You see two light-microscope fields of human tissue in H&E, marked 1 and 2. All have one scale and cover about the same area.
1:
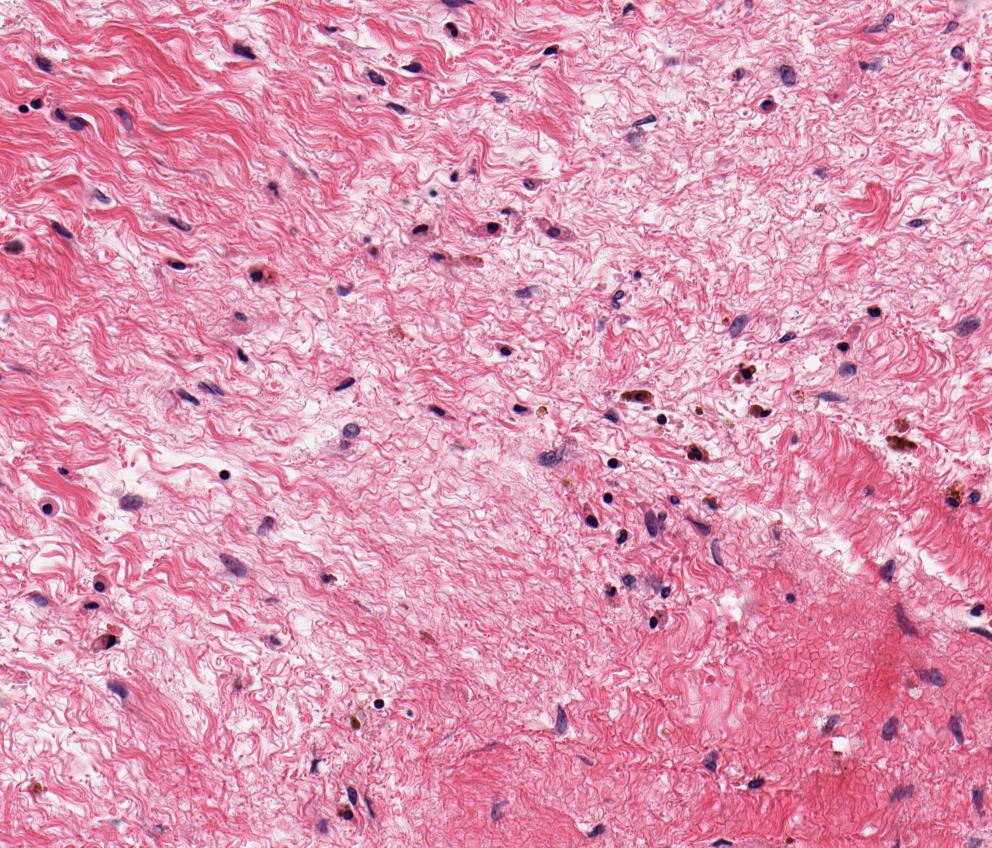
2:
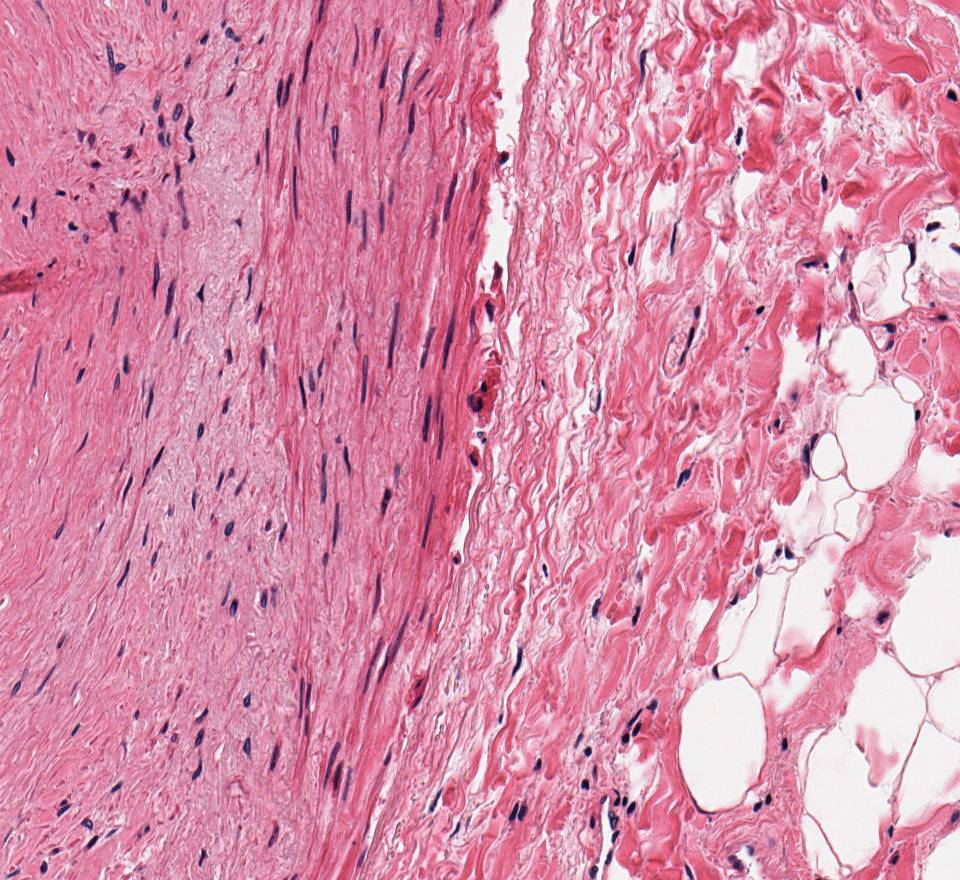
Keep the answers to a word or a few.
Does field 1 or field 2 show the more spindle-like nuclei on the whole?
2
